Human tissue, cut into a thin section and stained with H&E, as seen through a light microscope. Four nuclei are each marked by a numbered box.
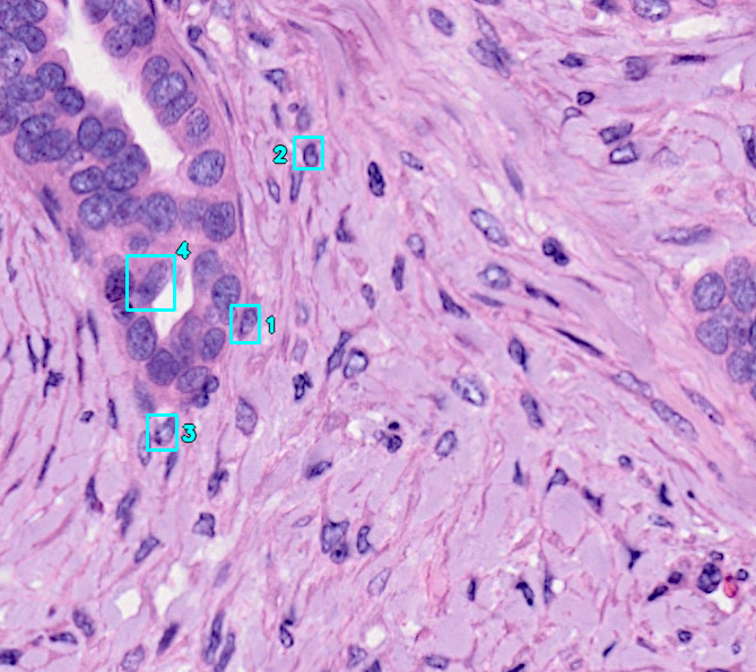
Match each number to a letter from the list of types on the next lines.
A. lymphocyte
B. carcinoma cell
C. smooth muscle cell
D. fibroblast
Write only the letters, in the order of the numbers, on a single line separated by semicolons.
D; D; D; B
